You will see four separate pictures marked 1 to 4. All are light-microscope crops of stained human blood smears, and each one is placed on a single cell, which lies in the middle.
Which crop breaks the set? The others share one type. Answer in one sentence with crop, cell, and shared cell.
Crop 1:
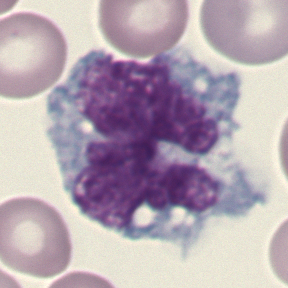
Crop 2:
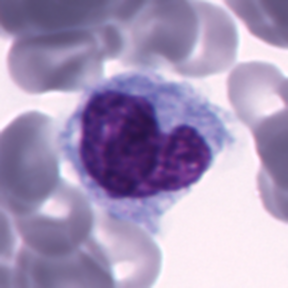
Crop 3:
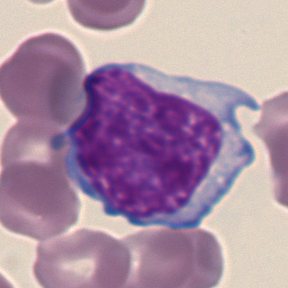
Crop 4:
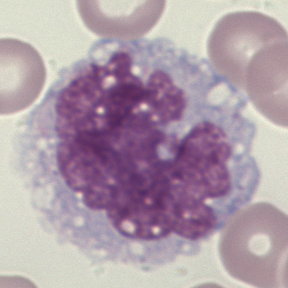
The exception is crop 3, with a myeloblast; the remaining crops all show monocytes.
